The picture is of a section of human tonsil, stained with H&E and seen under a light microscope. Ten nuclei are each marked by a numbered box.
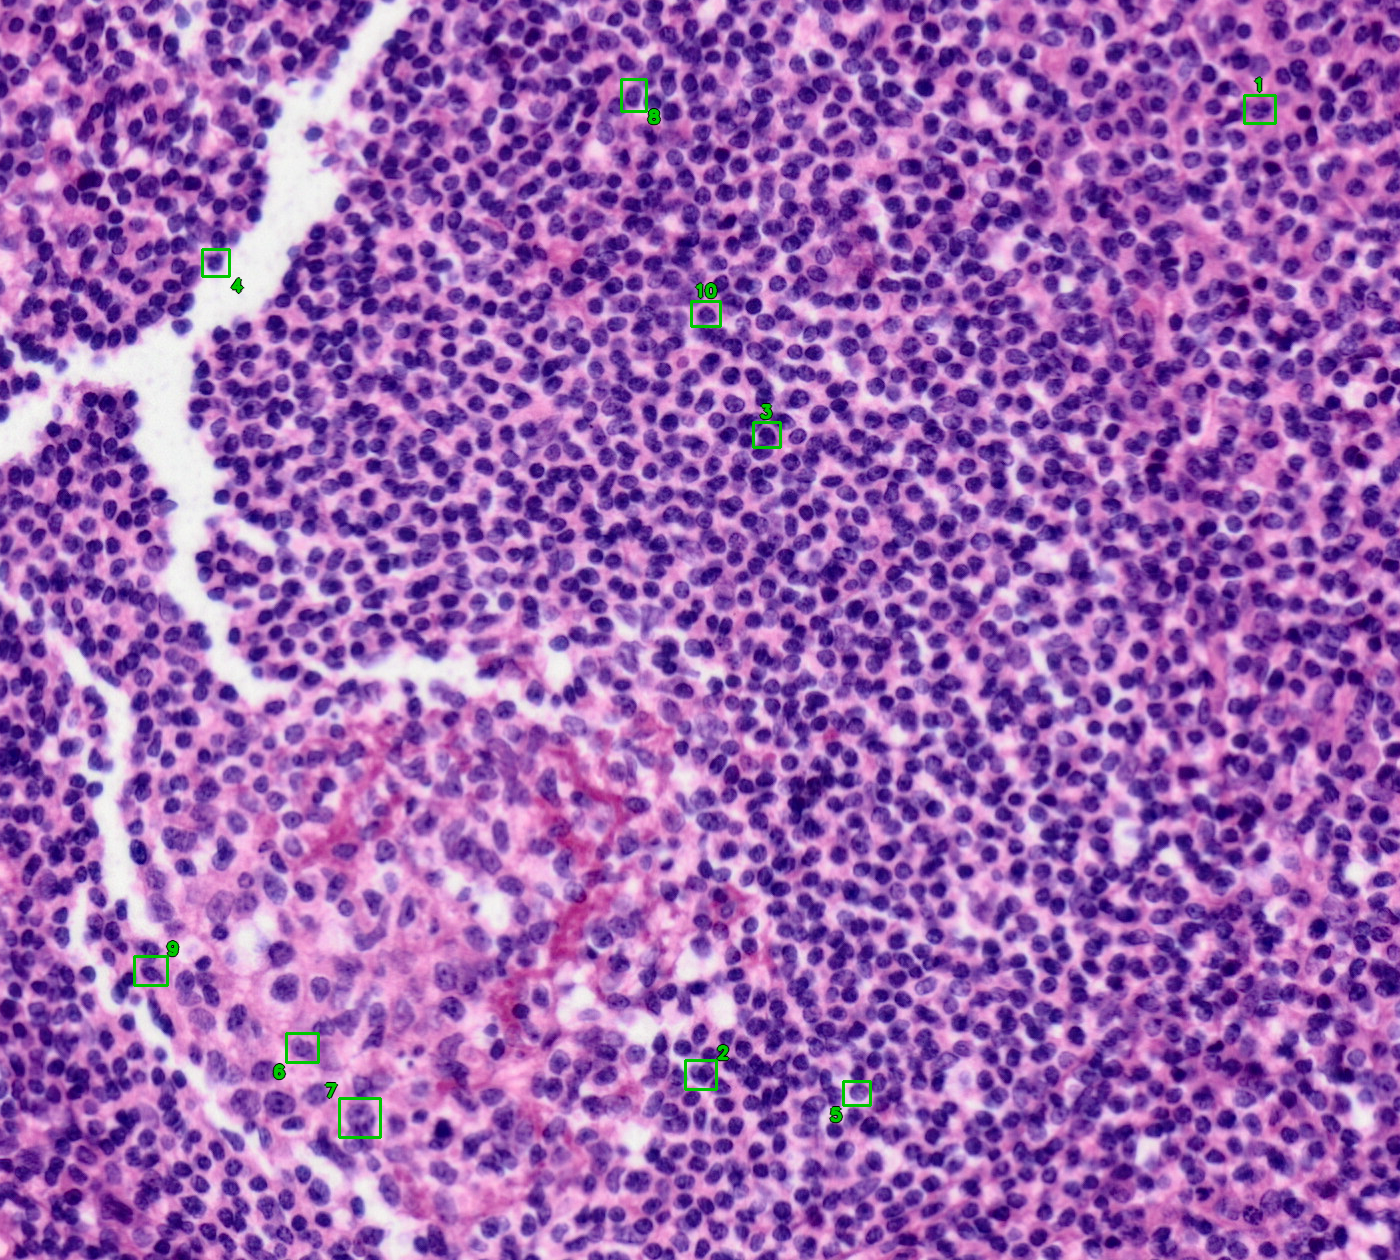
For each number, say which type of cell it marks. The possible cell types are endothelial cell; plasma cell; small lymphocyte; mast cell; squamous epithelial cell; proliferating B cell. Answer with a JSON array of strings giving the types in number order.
["plasma cell", "small lymphocyte", "small lymphocyte", "small lymphocyte", "small lymphocyte", "proliferating B cell", "proliferating B cell", "small lymphocyte", "proliferating B cell", "small lymphocyte"]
